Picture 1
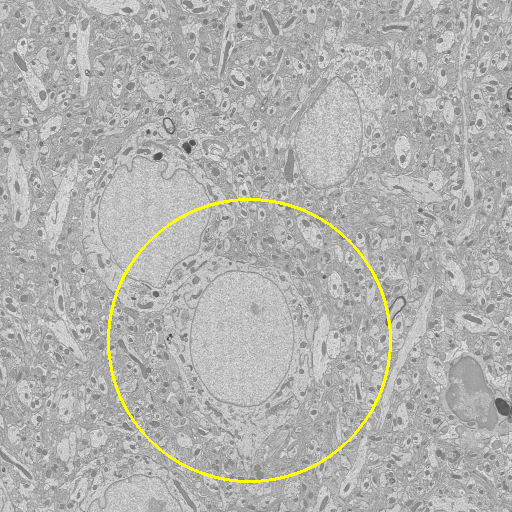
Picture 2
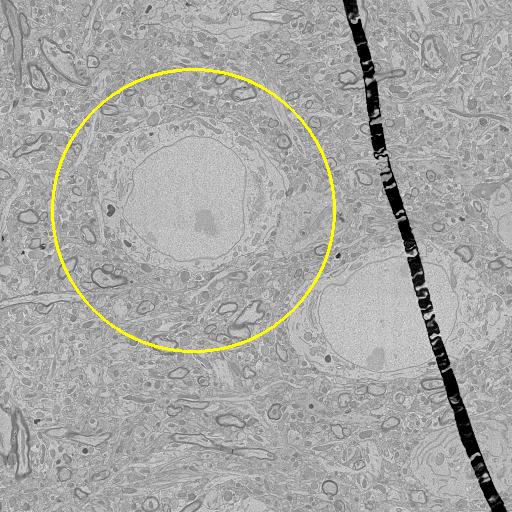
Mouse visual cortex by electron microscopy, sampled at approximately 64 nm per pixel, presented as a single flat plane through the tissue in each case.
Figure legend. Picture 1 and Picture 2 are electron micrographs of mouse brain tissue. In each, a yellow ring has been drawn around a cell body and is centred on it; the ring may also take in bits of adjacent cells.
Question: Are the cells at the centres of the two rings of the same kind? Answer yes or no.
yes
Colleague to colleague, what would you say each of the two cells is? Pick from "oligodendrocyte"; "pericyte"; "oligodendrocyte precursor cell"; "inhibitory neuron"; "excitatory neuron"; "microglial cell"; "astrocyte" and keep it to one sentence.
In each of the two pictures, the ringed cell is an excitatory neuron.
